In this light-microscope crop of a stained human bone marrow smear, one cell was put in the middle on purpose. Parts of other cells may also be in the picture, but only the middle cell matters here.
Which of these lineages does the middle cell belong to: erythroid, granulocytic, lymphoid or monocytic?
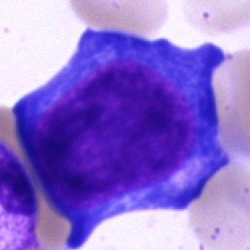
erythroid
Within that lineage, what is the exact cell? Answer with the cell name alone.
proerythroblast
